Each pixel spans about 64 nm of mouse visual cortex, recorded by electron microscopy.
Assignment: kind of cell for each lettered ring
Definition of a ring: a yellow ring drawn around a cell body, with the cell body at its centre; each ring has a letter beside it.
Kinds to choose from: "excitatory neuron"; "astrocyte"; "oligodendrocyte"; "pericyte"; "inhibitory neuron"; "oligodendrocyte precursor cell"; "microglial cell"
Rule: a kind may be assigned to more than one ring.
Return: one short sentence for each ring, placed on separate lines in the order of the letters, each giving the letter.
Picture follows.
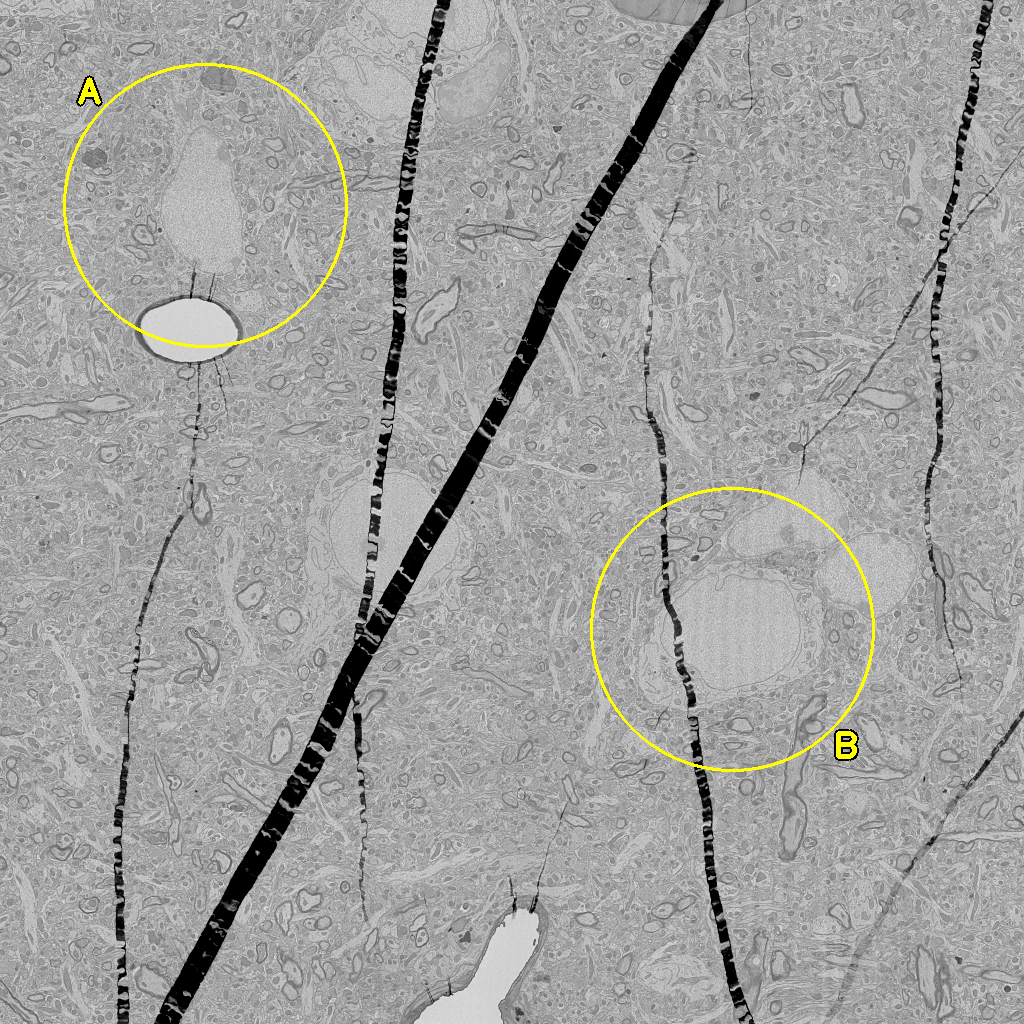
The ring marked A is centred on an astrocyte.
The ring marked B is centred on an excitatory neuron.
